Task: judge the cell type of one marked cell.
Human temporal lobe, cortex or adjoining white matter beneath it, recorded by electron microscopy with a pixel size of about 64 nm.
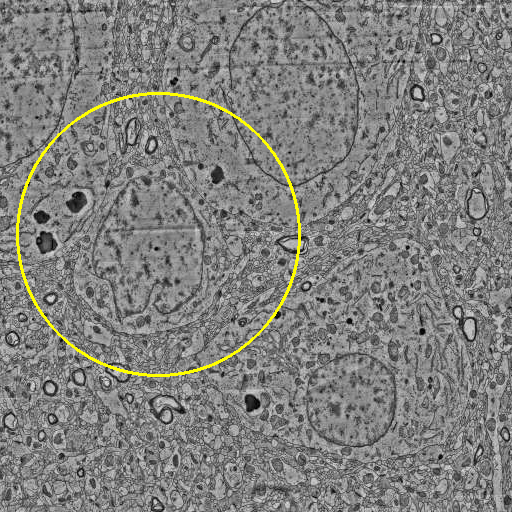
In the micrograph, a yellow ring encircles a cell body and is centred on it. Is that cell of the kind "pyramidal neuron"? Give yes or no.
no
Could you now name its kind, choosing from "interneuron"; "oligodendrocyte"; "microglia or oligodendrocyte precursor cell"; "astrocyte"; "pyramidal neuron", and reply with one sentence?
The cell ringed in the picture is an interneuron.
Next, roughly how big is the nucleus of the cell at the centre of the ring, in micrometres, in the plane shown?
Roughly 9 micrometres by 7 micrometres, in this plane.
